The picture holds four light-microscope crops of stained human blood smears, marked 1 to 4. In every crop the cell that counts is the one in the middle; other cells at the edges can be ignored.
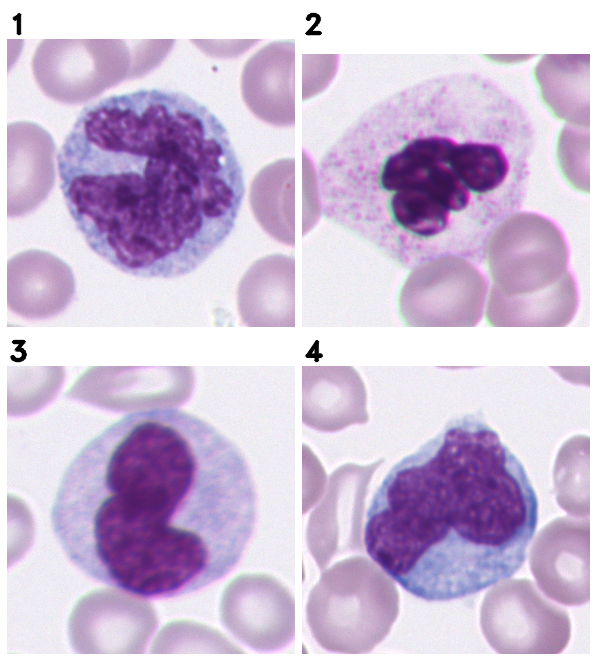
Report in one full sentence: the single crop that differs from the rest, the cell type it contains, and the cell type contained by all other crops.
The exception is crop 2, with a segmented neutrophil; the remaining crops all show monocytes.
